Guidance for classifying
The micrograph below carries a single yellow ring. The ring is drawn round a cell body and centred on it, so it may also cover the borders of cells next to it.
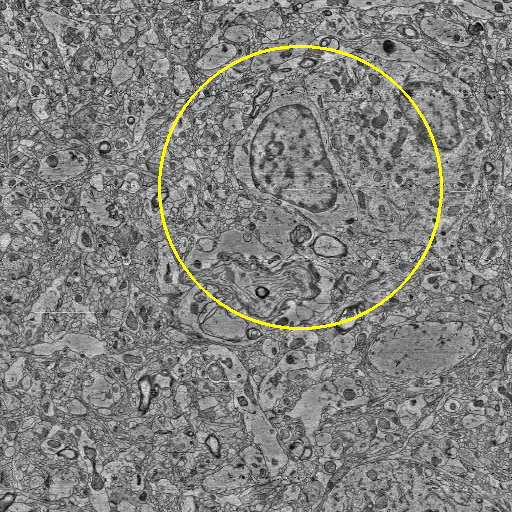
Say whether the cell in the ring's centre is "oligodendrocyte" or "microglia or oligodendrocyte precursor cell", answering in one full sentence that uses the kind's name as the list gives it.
Within the yellow ring, a microglial cell or oligodendrocyte precursor cell is the cell whose body sits at the centre.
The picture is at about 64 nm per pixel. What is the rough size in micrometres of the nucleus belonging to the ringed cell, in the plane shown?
Approximately 7 micrometres long and 5 micrometres wide, in this plane.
